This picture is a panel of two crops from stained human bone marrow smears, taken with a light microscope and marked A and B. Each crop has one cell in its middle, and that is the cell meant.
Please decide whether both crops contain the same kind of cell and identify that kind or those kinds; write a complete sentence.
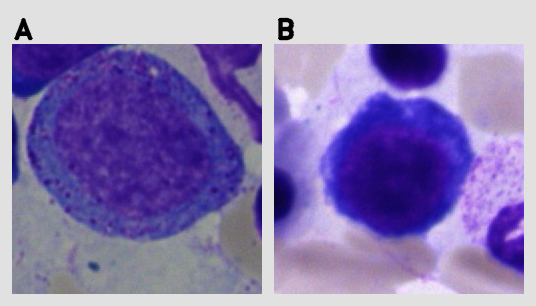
No, crop A matches a promyelocyte and crop B matches a proerythroblast.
